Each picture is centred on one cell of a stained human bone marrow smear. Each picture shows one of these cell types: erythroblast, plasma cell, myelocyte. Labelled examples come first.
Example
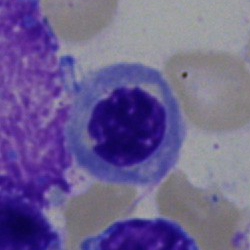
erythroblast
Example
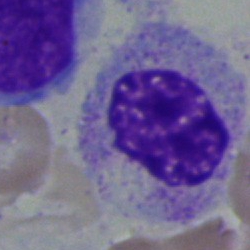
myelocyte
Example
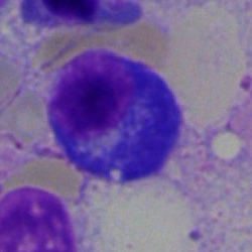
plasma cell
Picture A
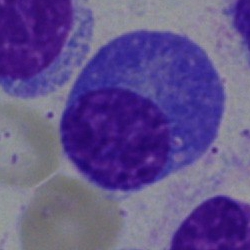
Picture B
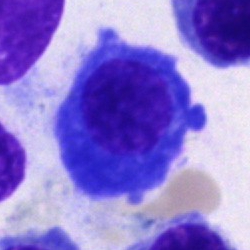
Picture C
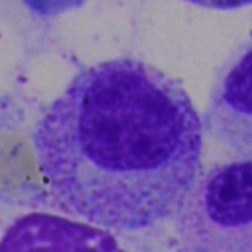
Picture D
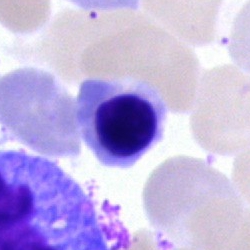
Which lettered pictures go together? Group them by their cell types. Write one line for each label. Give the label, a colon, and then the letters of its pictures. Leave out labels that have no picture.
erythroblast: D
plasma cell: A, B
myelocyte: C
